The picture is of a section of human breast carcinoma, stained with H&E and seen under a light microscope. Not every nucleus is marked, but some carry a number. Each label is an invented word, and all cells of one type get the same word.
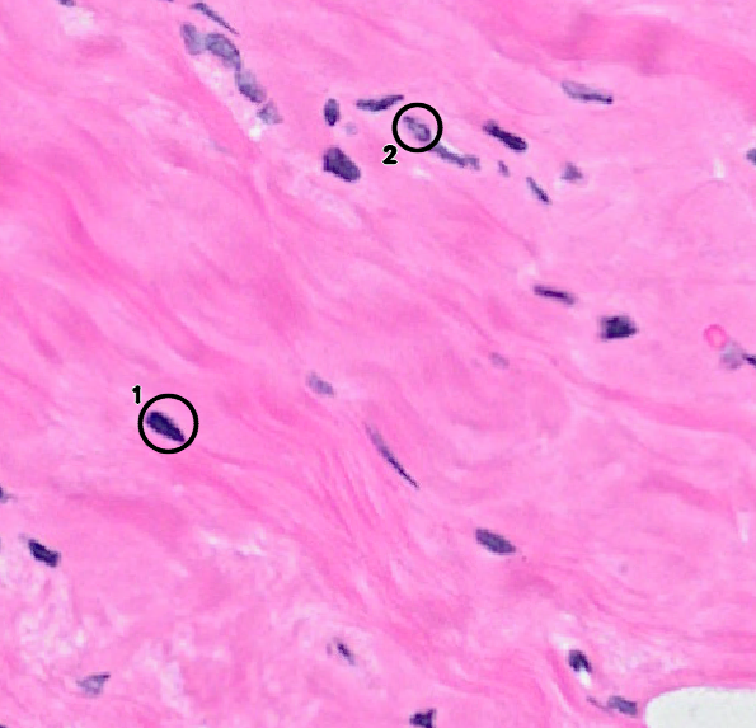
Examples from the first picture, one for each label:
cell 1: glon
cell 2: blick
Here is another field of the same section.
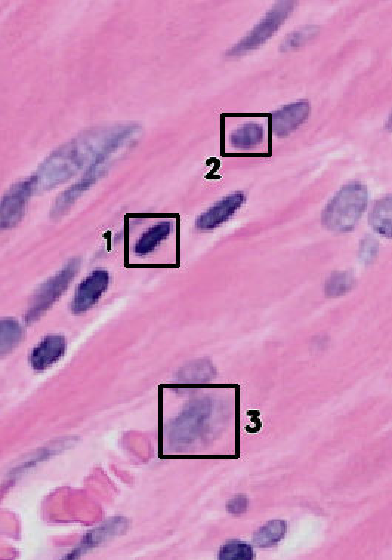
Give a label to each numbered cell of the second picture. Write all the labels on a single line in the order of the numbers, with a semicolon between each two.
glon; glon; blick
